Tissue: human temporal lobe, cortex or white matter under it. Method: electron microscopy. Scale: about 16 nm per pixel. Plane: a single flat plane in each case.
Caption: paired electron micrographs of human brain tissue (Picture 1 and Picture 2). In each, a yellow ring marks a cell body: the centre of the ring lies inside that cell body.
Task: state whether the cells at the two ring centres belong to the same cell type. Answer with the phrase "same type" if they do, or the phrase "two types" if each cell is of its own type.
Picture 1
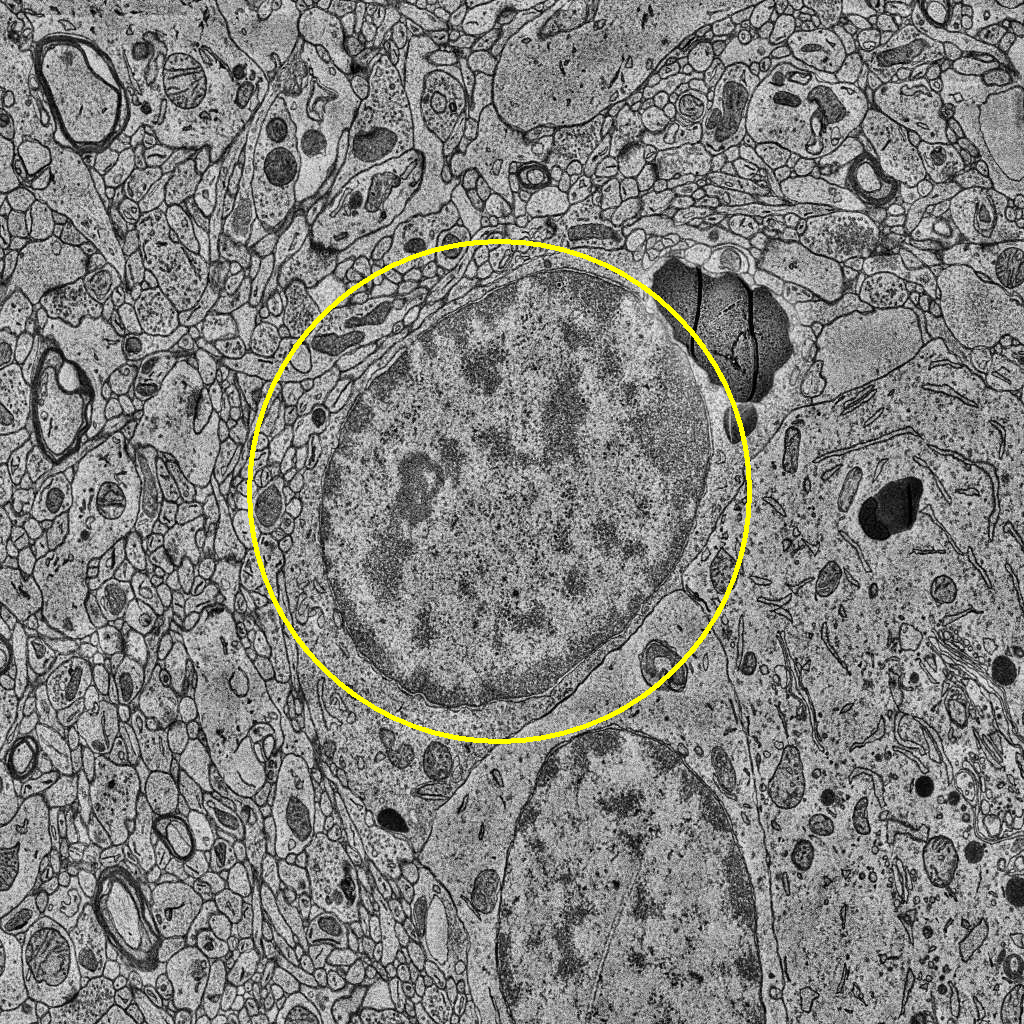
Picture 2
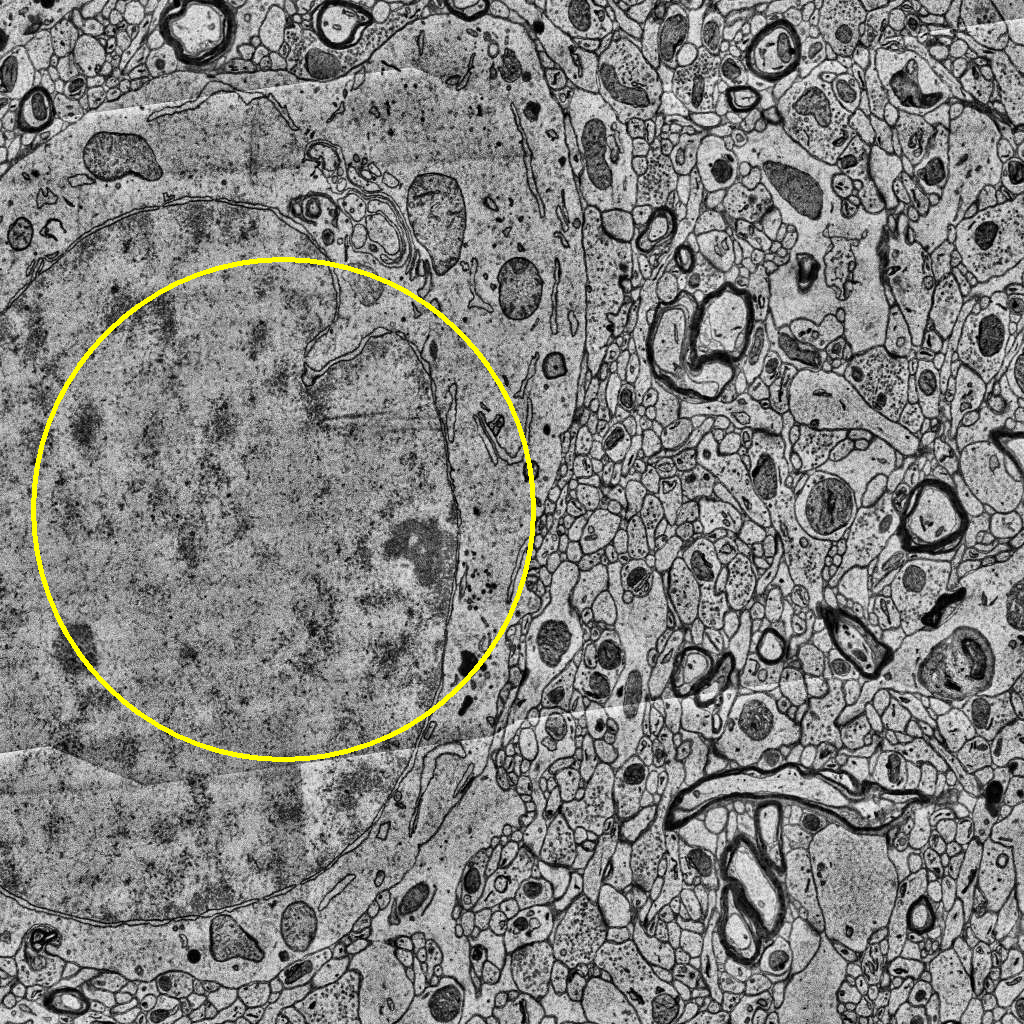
two types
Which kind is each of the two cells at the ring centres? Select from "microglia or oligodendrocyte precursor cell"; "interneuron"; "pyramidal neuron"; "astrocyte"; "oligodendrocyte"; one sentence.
The first cell is an oligodendrocyte; the second is an interneuron.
